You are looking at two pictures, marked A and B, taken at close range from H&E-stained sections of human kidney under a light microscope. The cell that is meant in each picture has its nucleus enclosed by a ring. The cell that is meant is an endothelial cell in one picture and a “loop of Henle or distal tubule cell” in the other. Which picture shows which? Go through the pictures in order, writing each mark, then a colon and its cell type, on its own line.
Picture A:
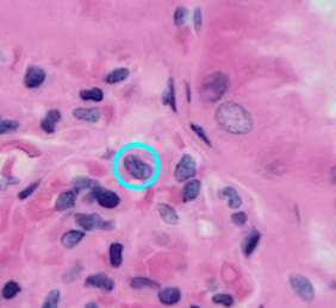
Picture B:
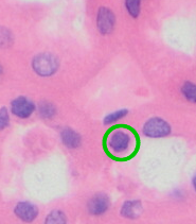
A: endothelial cell
B: loop of Henle or distal tubule cell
